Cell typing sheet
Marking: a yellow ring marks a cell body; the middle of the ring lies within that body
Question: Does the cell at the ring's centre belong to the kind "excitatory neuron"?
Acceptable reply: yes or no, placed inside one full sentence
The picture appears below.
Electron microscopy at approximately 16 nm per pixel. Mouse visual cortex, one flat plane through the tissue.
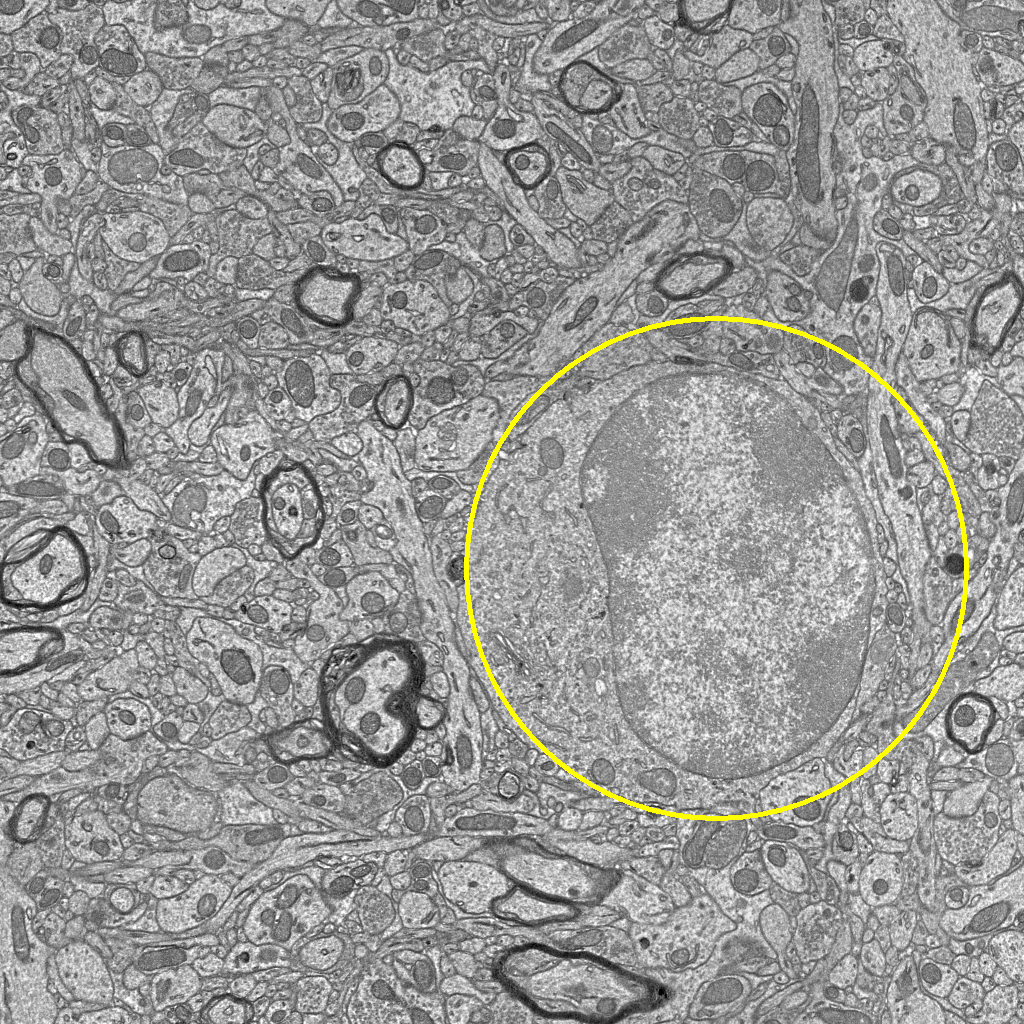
No, the cell at the centre of the ring belongs to a different kind.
